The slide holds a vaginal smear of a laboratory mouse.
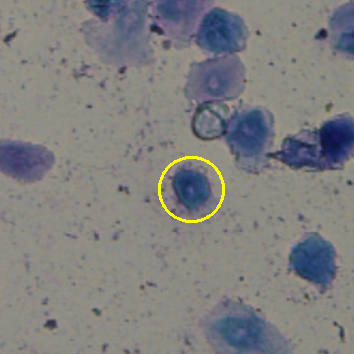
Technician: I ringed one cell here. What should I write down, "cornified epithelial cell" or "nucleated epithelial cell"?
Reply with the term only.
nucleated epithelial cell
